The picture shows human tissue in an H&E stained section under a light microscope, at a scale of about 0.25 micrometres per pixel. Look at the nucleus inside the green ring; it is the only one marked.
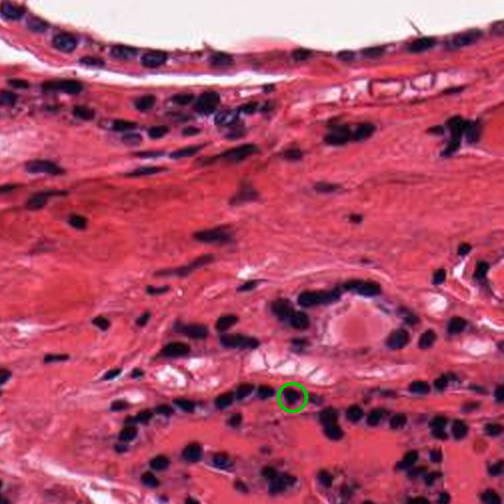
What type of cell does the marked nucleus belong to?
thyroid follicular cell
